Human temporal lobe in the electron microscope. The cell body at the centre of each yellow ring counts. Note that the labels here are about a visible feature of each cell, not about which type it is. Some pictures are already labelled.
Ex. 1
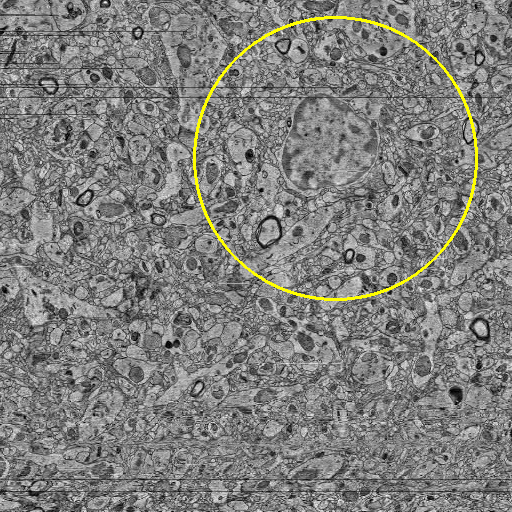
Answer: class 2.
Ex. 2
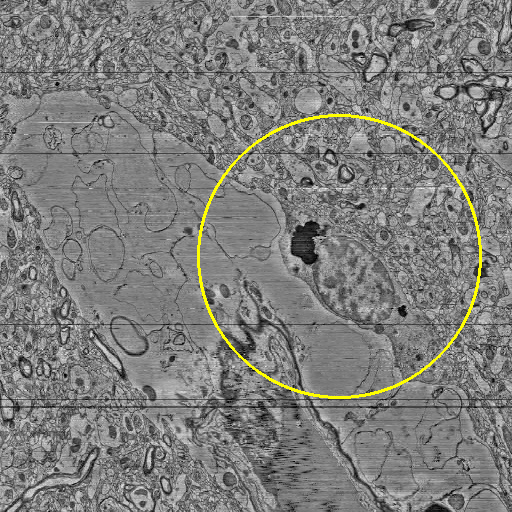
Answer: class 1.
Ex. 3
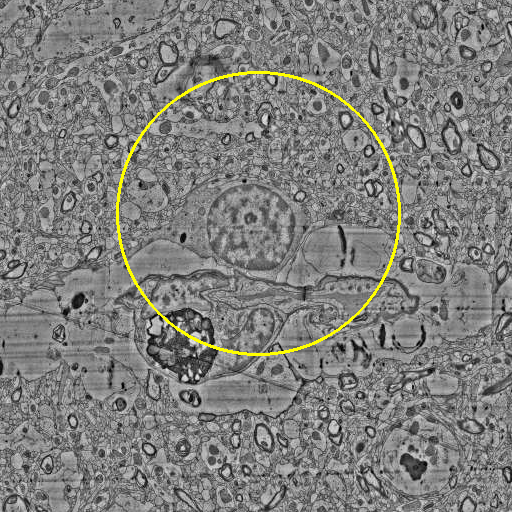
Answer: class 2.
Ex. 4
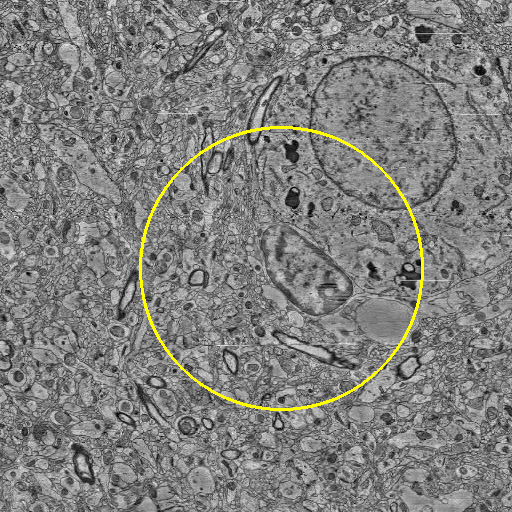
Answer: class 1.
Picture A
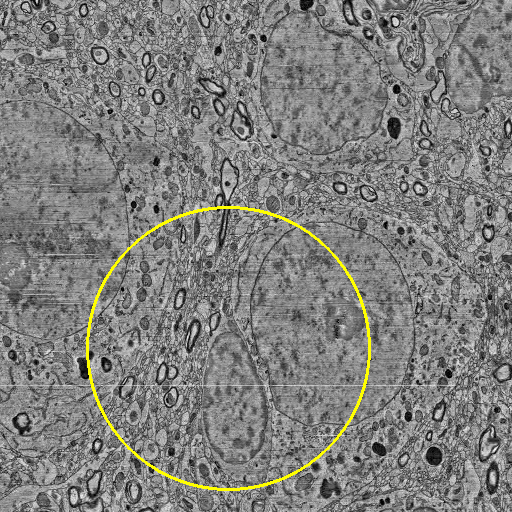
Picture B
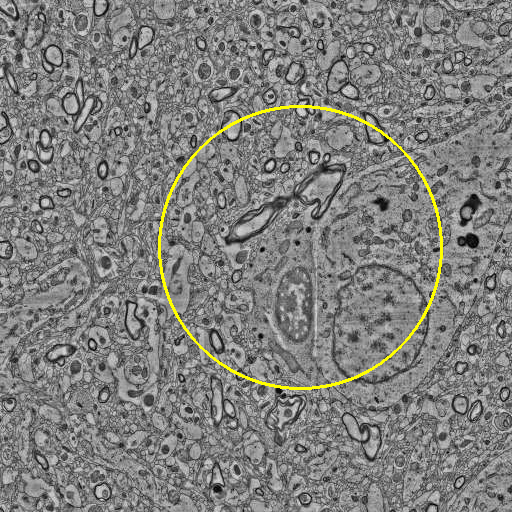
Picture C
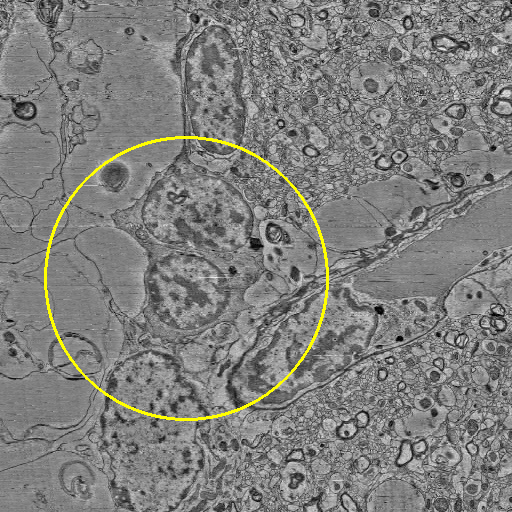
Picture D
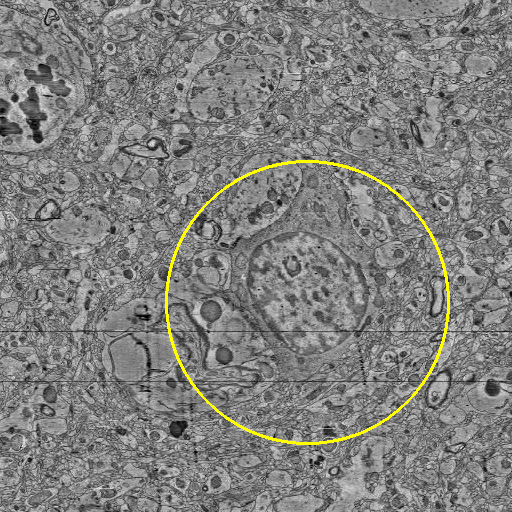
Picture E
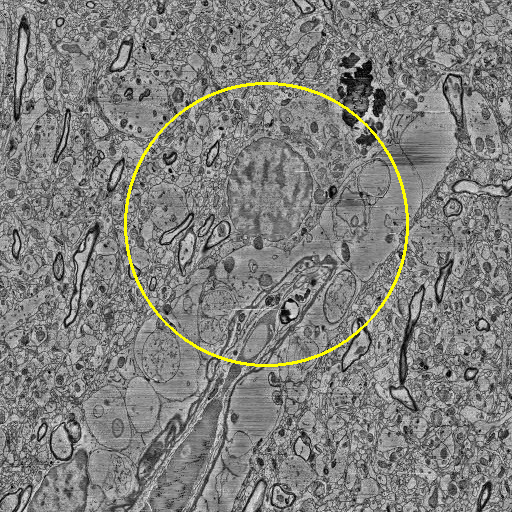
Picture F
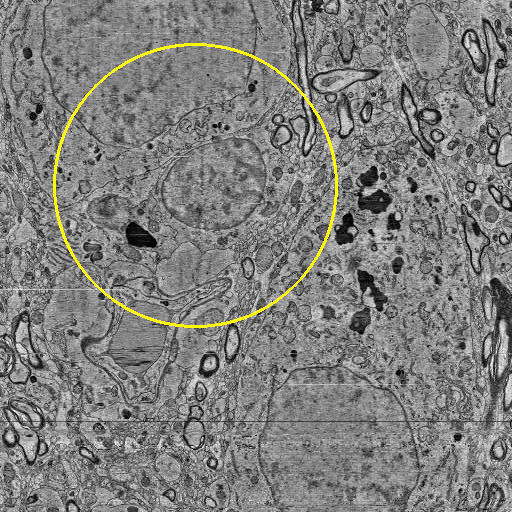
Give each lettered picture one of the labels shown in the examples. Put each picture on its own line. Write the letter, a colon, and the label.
A: class 1.
B: class 1.
C: class 2.
D: class 2.
E: class 2.
F: class 2.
